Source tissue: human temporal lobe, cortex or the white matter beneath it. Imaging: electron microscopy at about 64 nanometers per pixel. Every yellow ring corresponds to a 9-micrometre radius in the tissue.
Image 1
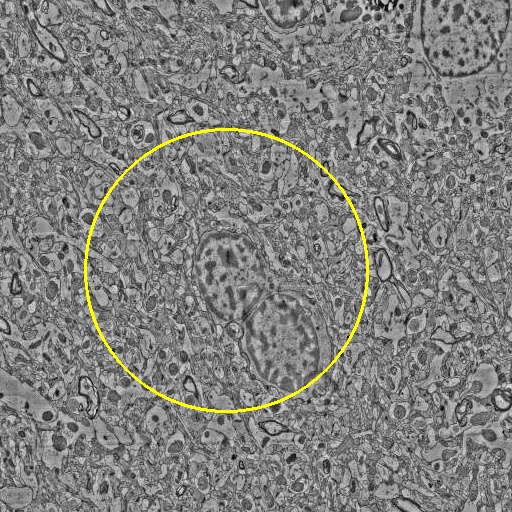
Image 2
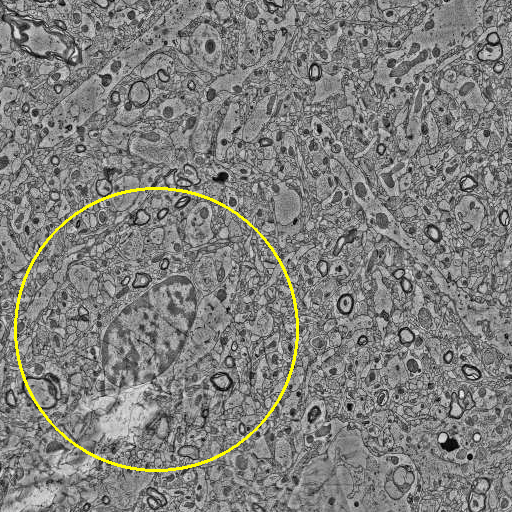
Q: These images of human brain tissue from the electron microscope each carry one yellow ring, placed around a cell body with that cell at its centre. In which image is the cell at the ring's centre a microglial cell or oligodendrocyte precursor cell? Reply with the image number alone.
2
